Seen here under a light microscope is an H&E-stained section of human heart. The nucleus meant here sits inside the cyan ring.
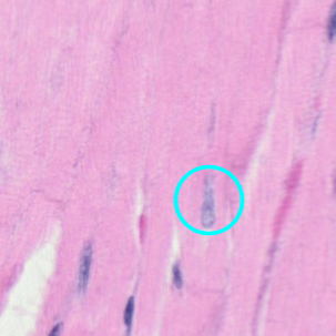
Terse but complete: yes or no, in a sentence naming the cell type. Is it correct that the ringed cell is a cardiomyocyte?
Yes, the classification of the ringed cell as a cardiomyocyte is accurate.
